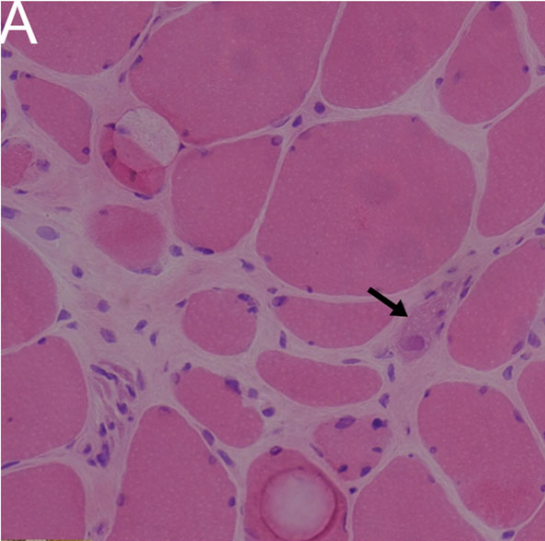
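This is skeletal muscle cut across, with pink muscle fibres and small dark purple nuclei. The fibres vary strongly in size, from small rounded profiles to very large ones, and many are irregular in outline. The spaces between the fibres are widened by pale connective tissue holding scattered elongated nuclei. One small fibre looks pale and smudged, with several small nuclei gathered around it, the look of a necrotic fibre with a little inflammatory infiltration. A few fibres look hollow or ring-like instead of solid pink.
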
